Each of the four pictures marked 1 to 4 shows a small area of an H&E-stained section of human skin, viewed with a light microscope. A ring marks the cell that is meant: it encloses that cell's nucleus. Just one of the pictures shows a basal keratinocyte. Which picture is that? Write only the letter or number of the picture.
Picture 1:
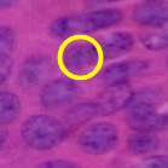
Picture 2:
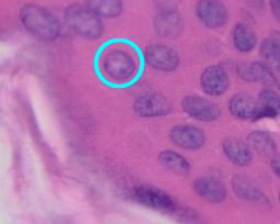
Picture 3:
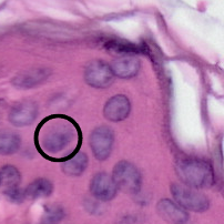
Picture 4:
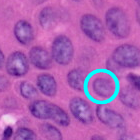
1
